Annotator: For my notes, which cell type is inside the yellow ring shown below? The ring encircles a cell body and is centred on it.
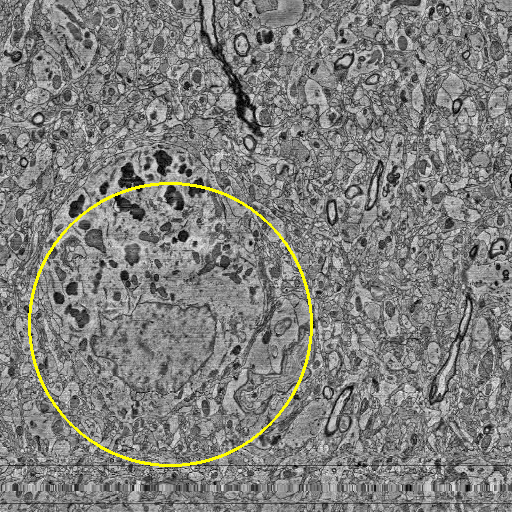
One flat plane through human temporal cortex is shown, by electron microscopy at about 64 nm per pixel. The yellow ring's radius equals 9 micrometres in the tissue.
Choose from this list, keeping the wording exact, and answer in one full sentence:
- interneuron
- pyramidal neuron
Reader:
At the centre of the yellow ring there is an interneuron, as shown in the picture.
